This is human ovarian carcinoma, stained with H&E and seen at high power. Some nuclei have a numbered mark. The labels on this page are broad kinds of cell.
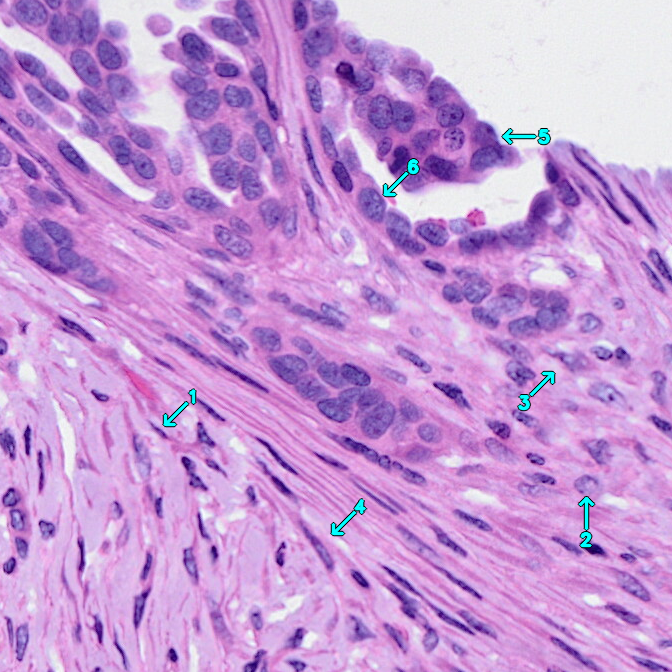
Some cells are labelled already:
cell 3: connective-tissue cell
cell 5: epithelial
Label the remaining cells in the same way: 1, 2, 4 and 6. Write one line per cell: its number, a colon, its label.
1: connective-tissue cell
2: connective-tissue cell
4: connective-tissue cell
6: epithelial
